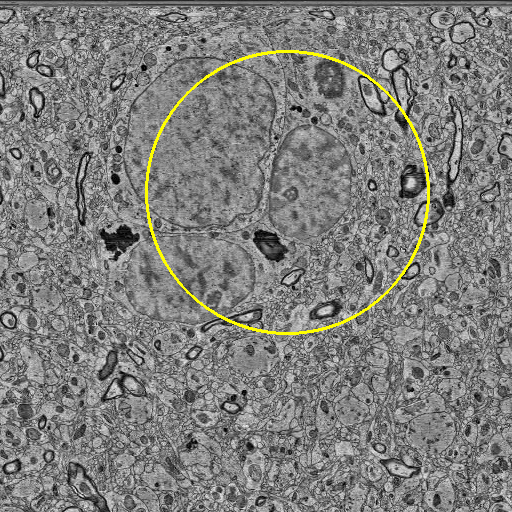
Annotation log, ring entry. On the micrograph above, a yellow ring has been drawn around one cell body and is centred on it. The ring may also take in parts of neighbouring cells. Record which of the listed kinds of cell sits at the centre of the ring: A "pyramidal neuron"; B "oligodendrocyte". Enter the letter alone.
B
